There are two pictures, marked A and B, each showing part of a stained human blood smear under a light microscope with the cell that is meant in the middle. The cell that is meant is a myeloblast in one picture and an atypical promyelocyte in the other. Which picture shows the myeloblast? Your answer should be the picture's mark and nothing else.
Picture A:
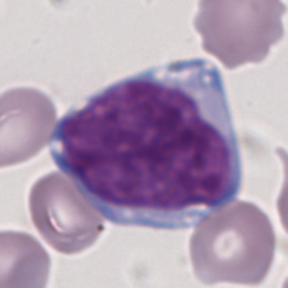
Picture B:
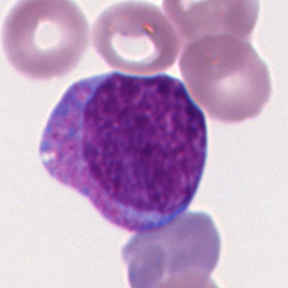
A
